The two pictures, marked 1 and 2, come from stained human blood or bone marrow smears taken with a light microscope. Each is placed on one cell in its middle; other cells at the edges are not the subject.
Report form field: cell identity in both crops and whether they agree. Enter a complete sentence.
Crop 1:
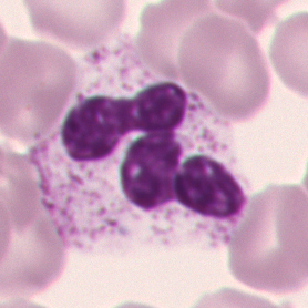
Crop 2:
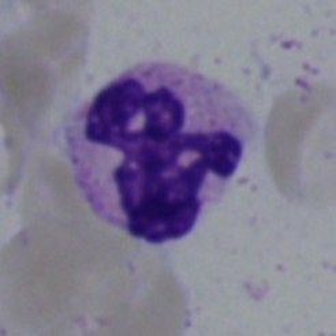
Yes, segmented neutrophils are depicted in both crops.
